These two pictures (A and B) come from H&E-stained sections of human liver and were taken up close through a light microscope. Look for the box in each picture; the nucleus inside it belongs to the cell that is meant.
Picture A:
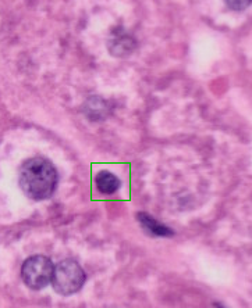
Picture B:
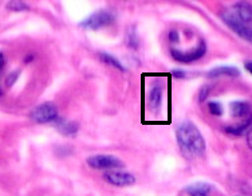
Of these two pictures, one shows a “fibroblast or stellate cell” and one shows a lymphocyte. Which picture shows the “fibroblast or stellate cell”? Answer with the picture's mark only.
B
